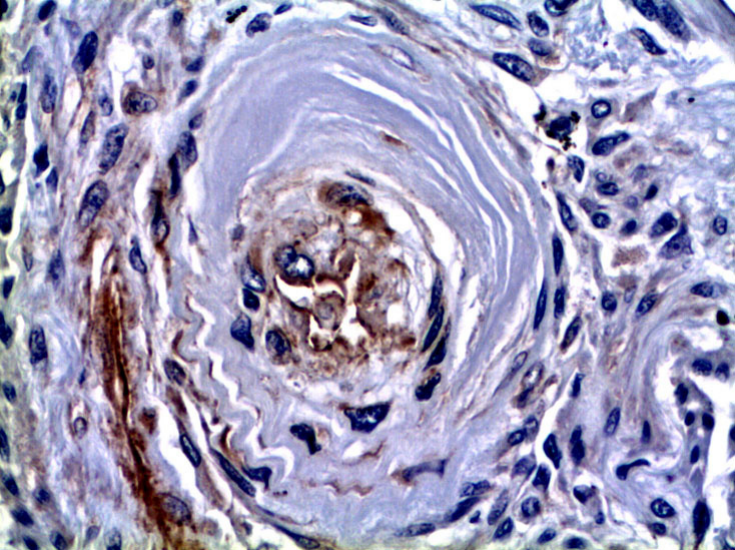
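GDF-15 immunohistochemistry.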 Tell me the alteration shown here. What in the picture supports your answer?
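Concentric lesion. Many pale, wavy layers run in rings around a central spot. The ring of layers encloses only a very small central lumen. Flattened, elongated nuclei lie between the rings.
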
